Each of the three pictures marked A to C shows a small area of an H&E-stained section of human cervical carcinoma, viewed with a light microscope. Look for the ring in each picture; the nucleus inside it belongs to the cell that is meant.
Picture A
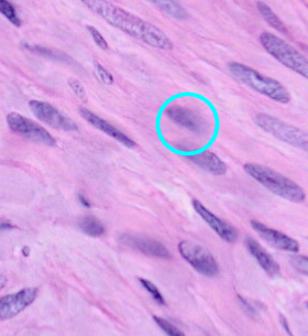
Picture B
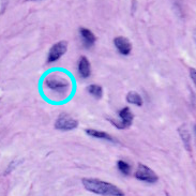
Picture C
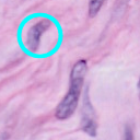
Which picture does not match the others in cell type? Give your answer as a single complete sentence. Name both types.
The different one is picture C; it shows a smooth muscle cell, whereas all the others show fibroblasts.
